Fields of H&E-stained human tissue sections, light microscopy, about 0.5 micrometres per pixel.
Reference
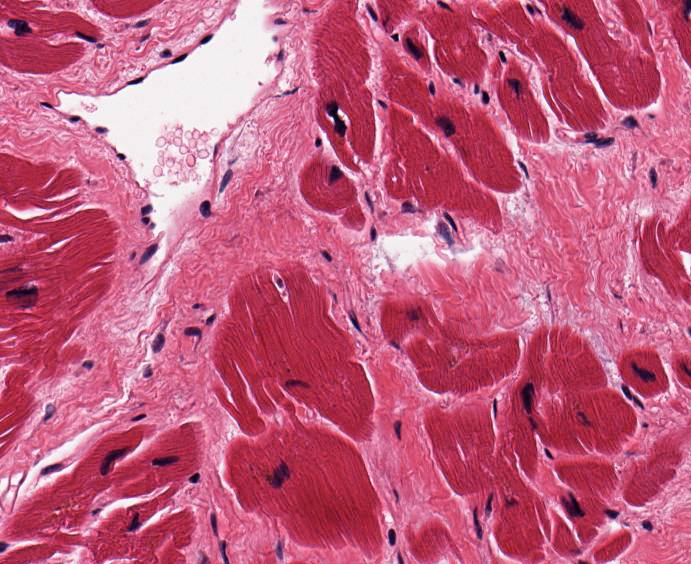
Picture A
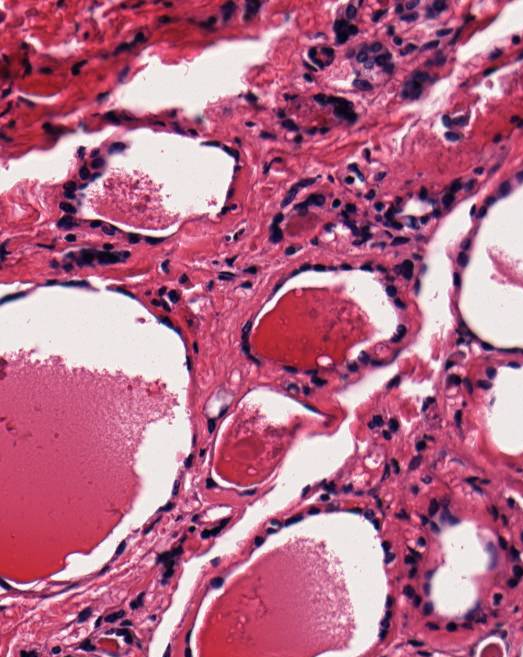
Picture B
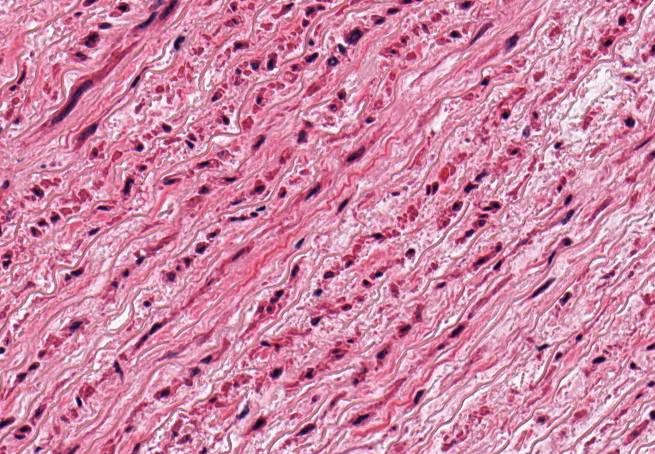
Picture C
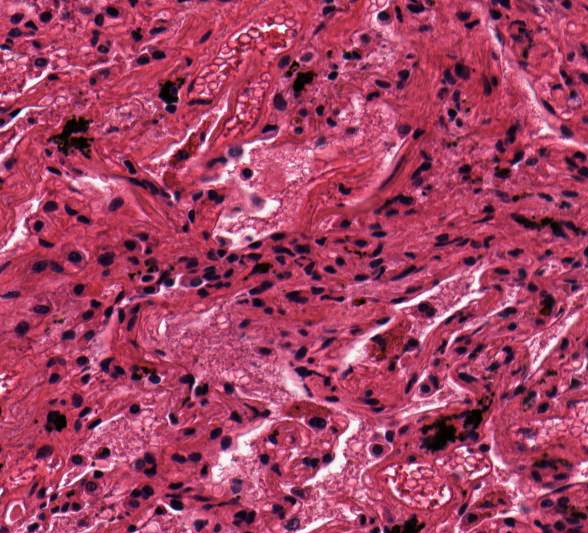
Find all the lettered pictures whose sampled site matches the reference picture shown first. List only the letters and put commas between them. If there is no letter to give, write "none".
none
